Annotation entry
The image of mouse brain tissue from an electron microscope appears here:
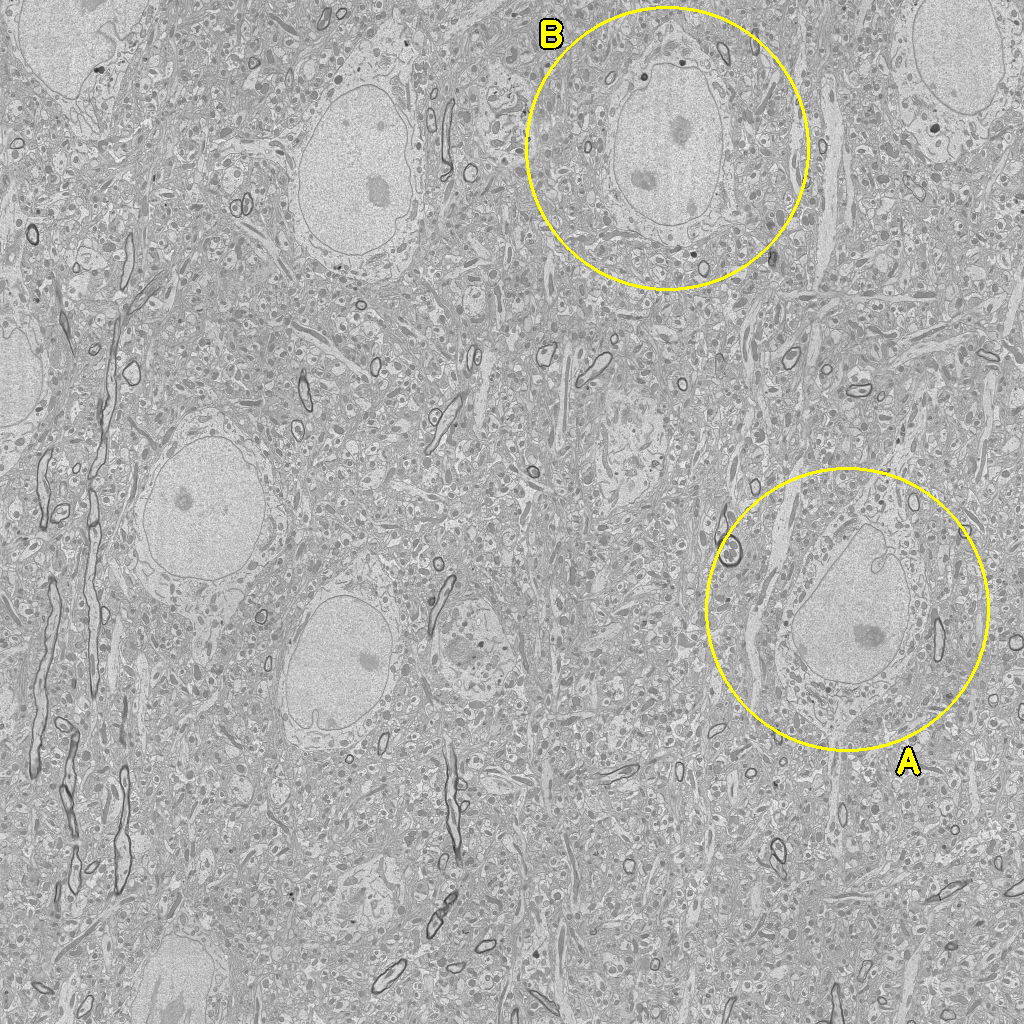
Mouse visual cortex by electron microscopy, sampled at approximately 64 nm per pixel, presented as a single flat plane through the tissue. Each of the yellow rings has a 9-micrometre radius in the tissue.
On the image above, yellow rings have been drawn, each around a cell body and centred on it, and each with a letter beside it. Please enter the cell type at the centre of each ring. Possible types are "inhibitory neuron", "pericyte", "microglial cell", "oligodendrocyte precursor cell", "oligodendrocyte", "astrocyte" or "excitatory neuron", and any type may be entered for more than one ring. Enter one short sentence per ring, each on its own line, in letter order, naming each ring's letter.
The cell that ring A is centred on is an inhibitory neuron.
The cell that ring B is centred on is an excitatory neuron.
